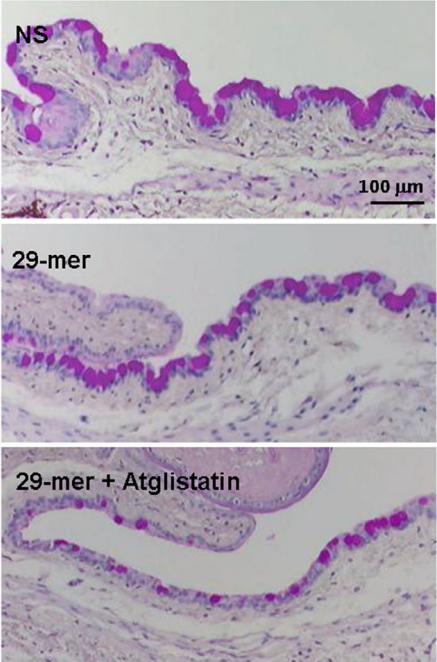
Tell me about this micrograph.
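These sections show conjunctiva, with goblet cells standing out as magenta-filled cells within a thin surface epithelium. The epithelium is only a few cells thick and follows gentle folds. Its ordinary cells have small blue-purple nuclei. The goblet cells are rounded or cup-shaped and packed with bright magenta mucus, and they bulge toward the free surface. Beneath the epithelium lies loose, pale connective tissue with scattered elongated nuclei. In the upper two images the goblet cells are large and closely spaced along much of the surface.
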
